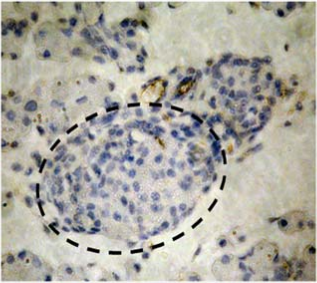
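The islet cells are densely packed, with round blue nuclei and pale cytoplasm. Almost no brown stain is seen within the islet.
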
